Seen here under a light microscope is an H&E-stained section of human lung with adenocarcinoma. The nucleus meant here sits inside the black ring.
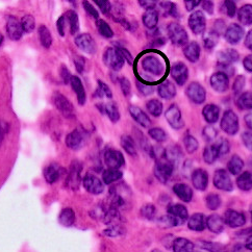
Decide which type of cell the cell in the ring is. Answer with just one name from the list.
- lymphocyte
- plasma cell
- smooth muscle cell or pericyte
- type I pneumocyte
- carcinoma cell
lymphocyte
